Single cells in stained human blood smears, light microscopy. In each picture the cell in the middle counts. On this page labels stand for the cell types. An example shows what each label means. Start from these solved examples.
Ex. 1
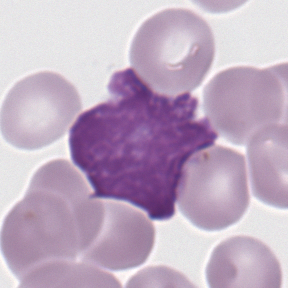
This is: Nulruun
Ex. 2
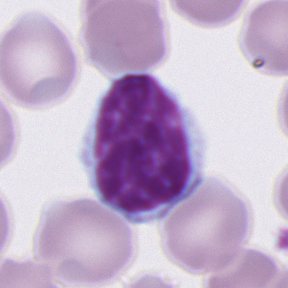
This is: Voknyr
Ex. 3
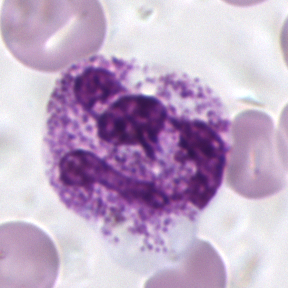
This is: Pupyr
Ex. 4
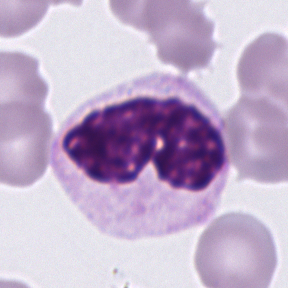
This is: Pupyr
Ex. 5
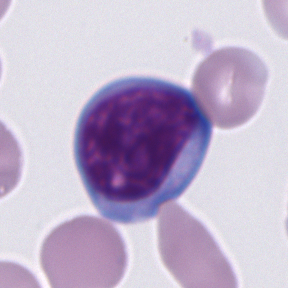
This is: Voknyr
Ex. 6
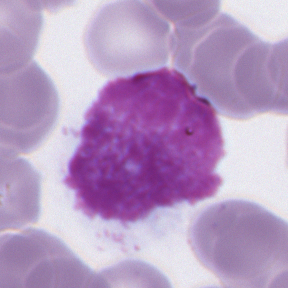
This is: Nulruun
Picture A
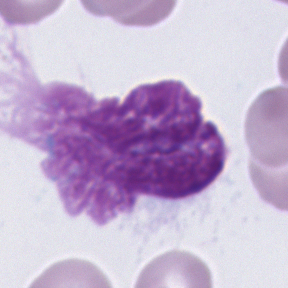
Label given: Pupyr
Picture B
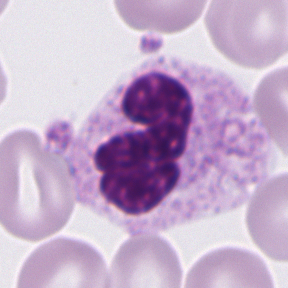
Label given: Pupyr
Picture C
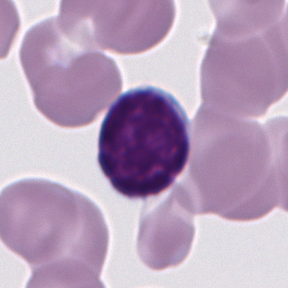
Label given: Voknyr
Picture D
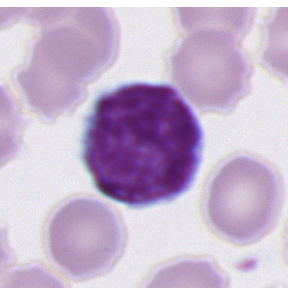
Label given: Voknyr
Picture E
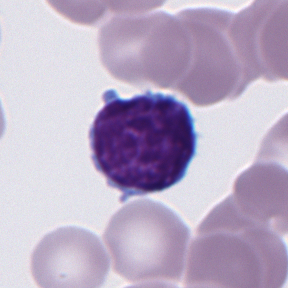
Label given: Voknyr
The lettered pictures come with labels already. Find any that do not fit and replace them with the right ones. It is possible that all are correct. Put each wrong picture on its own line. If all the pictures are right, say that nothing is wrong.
A should be Nulruun, not Pupyr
